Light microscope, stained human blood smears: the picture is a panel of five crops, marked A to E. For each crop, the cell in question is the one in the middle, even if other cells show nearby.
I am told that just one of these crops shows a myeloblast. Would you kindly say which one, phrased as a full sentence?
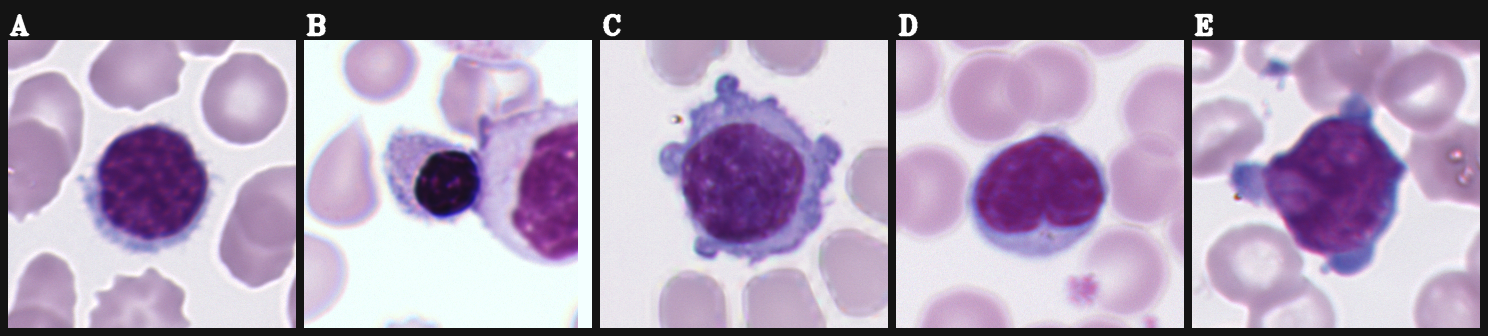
Crop E is where a myeloblast is shown.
